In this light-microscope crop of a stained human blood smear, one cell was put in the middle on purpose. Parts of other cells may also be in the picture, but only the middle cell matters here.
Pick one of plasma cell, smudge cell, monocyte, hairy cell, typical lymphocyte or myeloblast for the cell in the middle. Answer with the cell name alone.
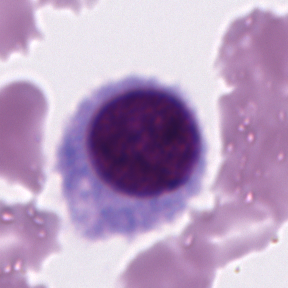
hairy cell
